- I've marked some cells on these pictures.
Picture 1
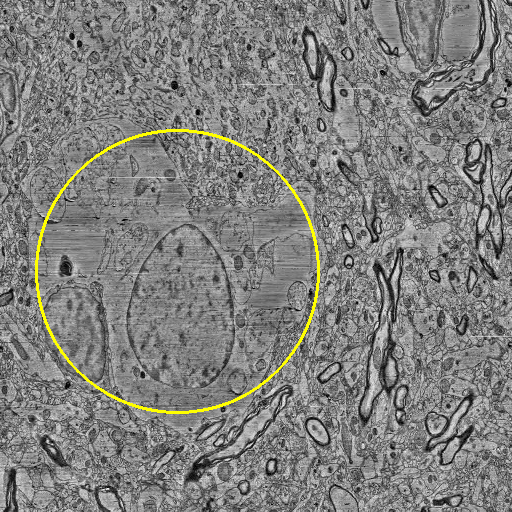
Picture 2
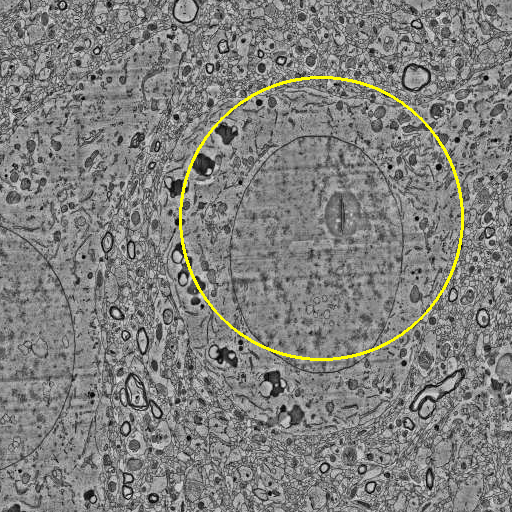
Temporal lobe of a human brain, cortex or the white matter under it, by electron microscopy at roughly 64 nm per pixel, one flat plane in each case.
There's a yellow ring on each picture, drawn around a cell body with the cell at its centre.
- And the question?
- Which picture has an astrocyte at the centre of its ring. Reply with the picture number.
1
